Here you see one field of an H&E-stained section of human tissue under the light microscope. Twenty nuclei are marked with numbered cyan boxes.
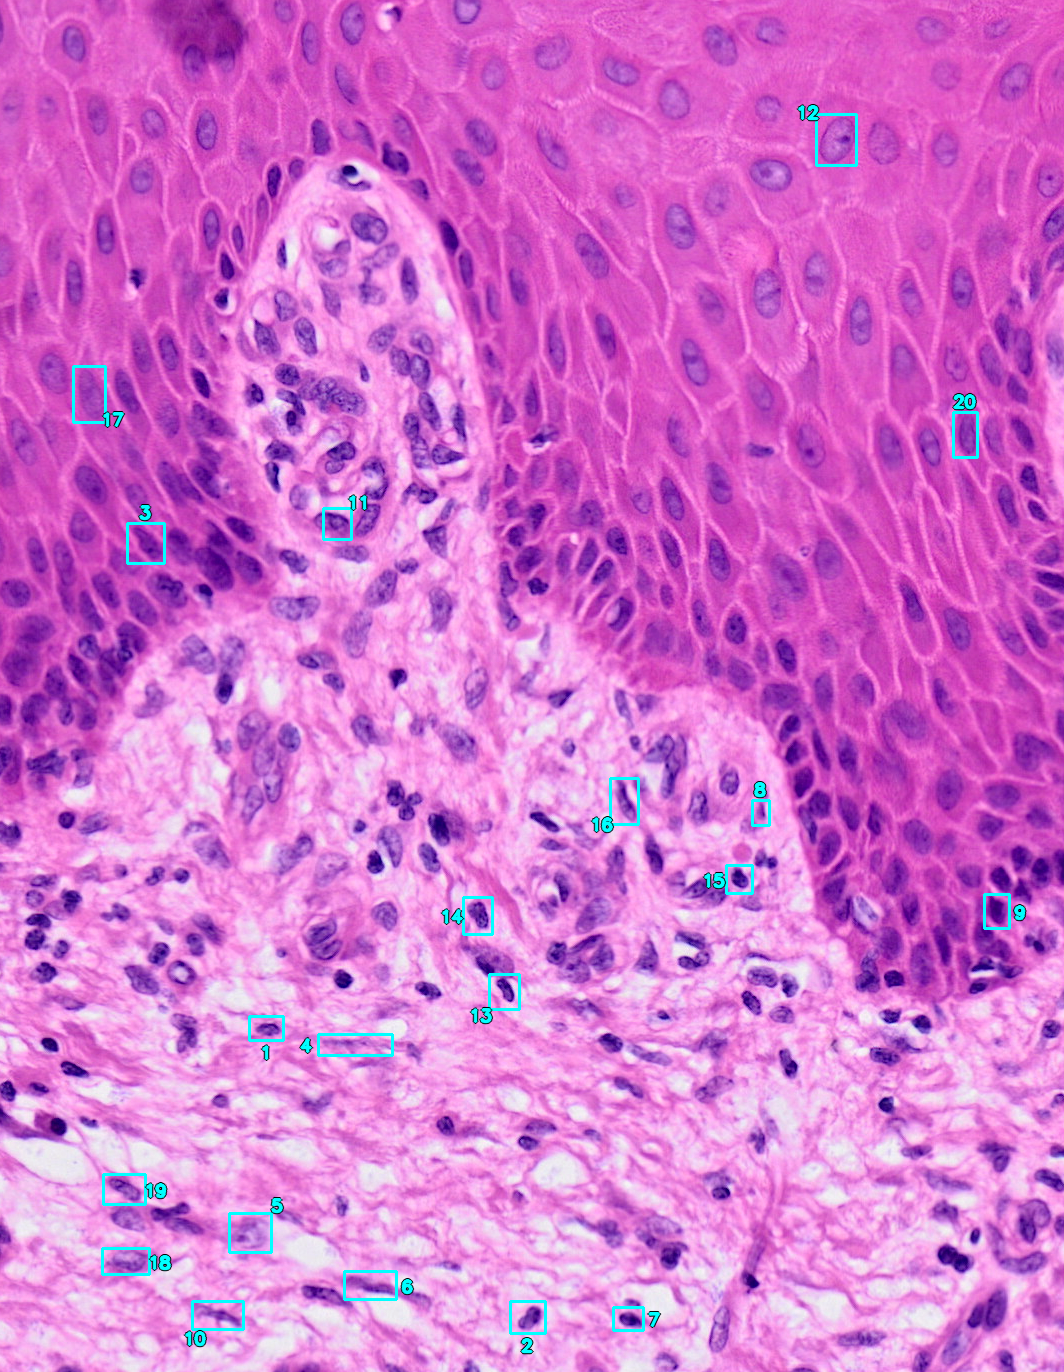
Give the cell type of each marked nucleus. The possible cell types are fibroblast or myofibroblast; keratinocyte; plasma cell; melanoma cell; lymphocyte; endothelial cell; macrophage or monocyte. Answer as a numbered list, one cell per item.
1. lymphocyte
2. lymphocyte
3. keratinocyte
4. fibroblast or myofibroblast
5. fibroblast or myofibroblast
6. fibroblast or myofibroblast
7. lymphocyte
8. fibroblast or myofibroblast
9. keratinocyte
10. fibroblast or myofibroblast
11. endothelial cell
12. keratinocyte
13. lymphocyte
14. lymphocyte
15. lymphocyte
16. fibroblast or myofibroblast
17. keratinocyte
18. fibroblast or myofibroblast
19. macrophage or monocyte
20. keratinocyte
